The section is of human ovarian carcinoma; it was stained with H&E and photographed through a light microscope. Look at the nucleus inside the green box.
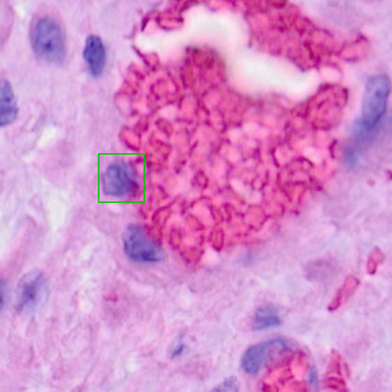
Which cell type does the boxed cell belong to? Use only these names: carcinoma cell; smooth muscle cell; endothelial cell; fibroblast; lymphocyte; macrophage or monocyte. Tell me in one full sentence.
Speaking plainly, the boxed cell is nothing other than an endothelial cell.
